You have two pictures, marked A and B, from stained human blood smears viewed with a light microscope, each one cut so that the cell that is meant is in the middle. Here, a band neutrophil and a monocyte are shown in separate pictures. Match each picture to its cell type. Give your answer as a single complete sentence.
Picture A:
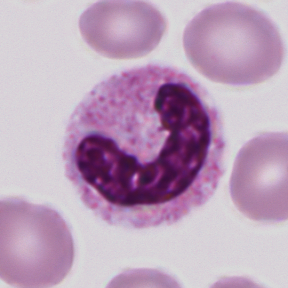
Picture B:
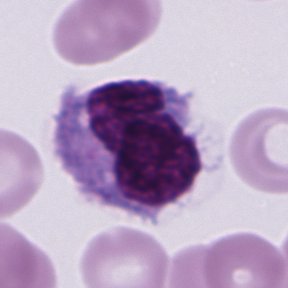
Picture B shows a monocyte, while picture A shows a band neutrophil.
